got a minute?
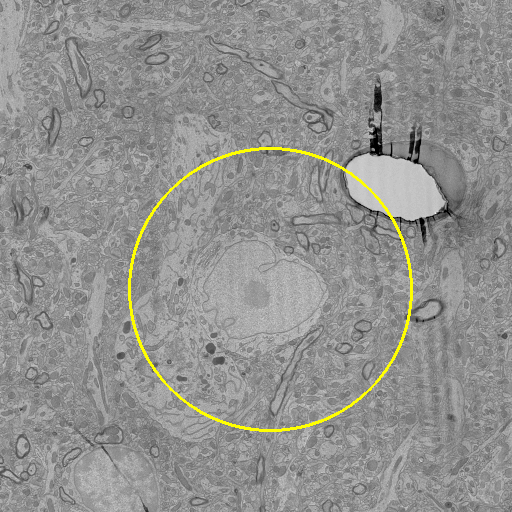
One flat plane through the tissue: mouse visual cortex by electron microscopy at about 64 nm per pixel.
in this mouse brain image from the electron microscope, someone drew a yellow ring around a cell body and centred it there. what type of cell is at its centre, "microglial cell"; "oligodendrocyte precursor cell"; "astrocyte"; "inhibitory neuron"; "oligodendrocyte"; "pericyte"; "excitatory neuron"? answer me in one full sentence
It's an inhibitory neuron at the middle of that yellow ring in the shot.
